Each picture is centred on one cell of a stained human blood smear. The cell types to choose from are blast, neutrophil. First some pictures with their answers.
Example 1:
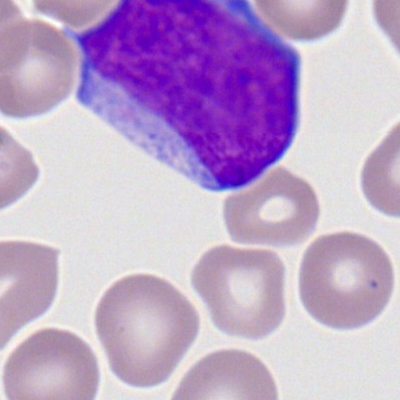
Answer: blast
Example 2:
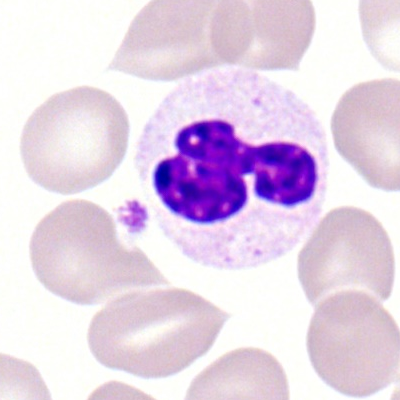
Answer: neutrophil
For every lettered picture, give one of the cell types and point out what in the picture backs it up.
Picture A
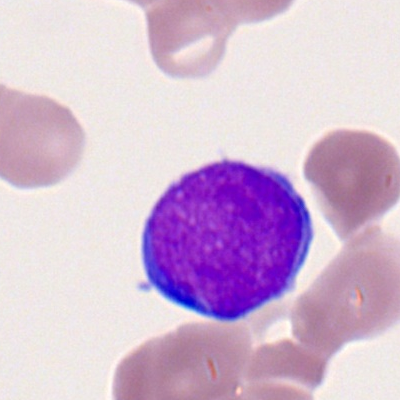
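blast. Reason: The rim of cytoplasm is deep blue.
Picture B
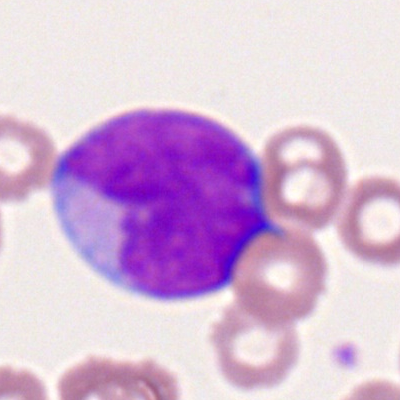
blast. Reason: The nucleus fills most of the cell, leaving little cytoplasm.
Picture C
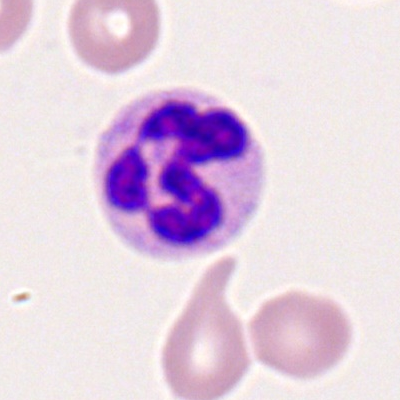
neutrophil. Reason: The nucleus is divided into several separate lobes.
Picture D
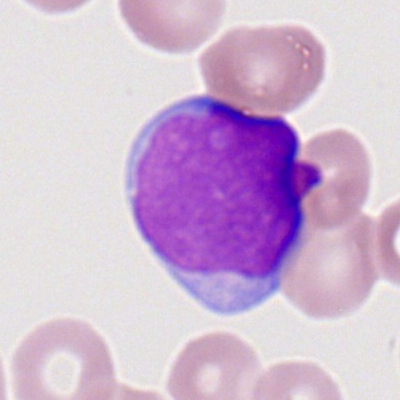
blast. Reason: The nucleus fills most of the cell.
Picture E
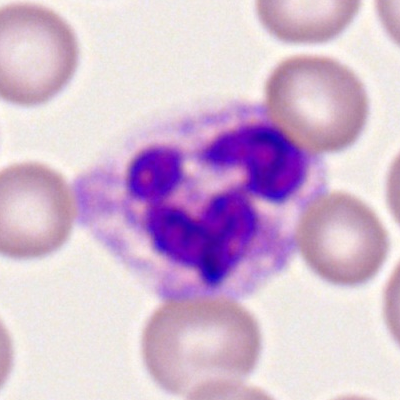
neutrophil. Reason: The cytoplasm is plentiful and pale pinkish-lilac.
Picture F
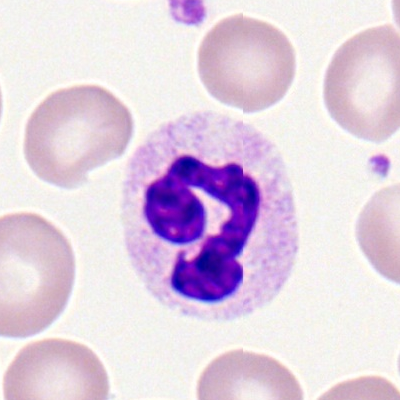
neutrophil. Reason: The cytoplasm is plentiful and pale pinkish-lilac.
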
